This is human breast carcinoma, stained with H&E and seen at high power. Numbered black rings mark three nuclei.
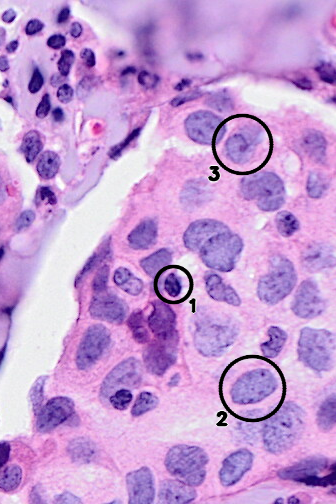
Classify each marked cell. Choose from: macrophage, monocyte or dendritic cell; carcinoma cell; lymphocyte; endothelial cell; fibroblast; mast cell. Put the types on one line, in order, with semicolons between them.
lymphocyte; carcinoma cell; carcinoma cell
